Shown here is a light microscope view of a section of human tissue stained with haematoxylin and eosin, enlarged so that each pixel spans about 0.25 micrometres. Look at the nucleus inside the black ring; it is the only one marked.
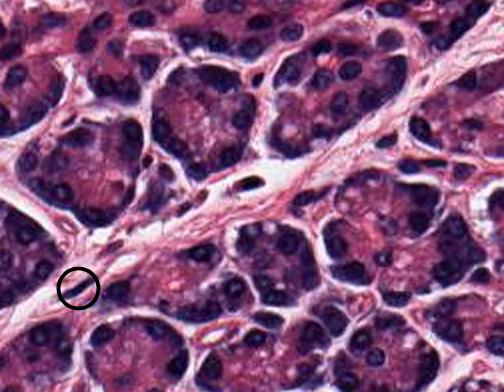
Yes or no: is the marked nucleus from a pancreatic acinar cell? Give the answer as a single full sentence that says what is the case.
No, the marked nucleus does not come from a pancreatic acinar cell but from a supporting cell.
